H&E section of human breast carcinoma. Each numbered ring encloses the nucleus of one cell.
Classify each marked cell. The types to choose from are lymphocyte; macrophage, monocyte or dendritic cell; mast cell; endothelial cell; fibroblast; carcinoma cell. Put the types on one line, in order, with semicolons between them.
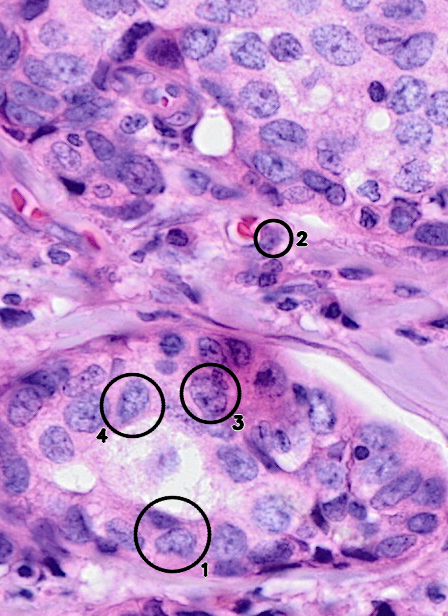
carcinoma cell; endothelial cell; carcinoma cell; carcinoma cell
